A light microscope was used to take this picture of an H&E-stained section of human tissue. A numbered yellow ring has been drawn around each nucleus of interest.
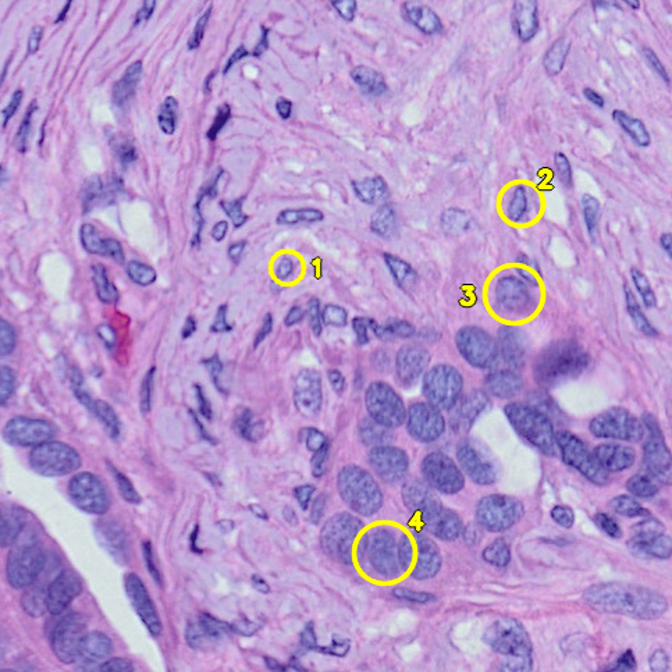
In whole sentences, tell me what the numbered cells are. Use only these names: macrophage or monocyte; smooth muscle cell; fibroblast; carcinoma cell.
Cells 1, 2 and 3 are fibroblasts. Cell 4 is a carcinoma cell.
